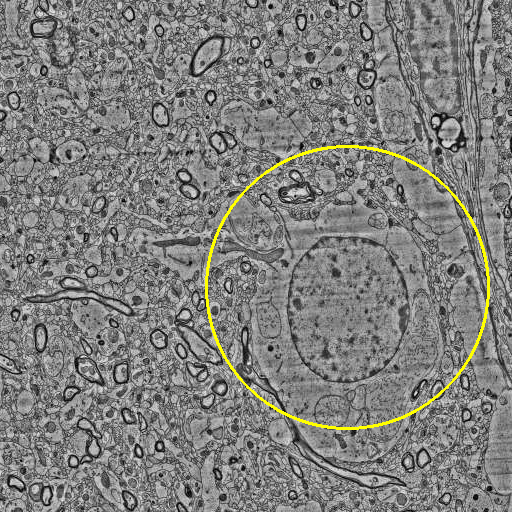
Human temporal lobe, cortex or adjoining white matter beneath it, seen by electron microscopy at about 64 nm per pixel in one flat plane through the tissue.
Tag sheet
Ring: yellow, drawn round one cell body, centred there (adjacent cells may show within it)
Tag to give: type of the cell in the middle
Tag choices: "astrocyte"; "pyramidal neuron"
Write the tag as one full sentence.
I tag the cell centred in the yellow ring as an astrocyte in this picture.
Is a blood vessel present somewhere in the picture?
Yes.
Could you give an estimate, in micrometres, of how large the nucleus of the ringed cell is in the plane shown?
The nucleus has a long axis of about 9 micrometres and a short axis of about 8 micrometres in this plane.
